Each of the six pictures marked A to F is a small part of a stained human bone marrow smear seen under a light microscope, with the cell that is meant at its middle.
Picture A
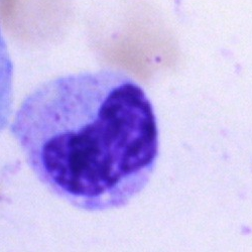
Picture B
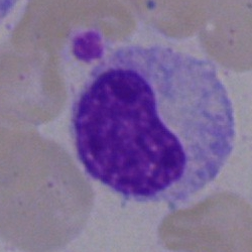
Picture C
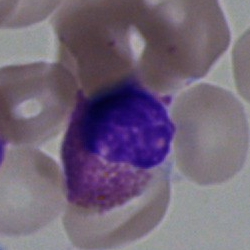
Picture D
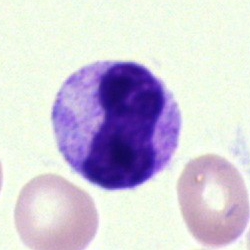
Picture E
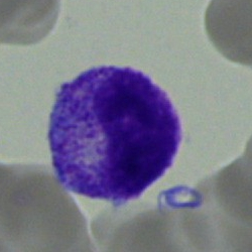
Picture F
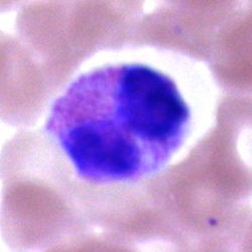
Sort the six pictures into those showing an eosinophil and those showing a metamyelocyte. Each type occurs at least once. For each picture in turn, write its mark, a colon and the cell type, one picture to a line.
A: metamyelocyte
B: metamyelocyte
C: eosinophil
D: metamyelocyte
E: metamyelocyte
F: eosinophil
